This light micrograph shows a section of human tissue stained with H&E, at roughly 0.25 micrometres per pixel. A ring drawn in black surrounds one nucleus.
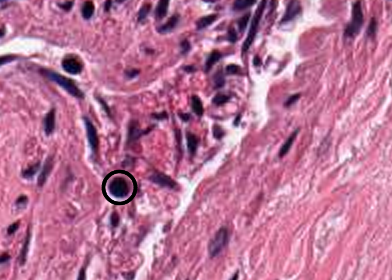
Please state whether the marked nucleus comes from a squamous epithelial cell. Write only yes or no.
no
